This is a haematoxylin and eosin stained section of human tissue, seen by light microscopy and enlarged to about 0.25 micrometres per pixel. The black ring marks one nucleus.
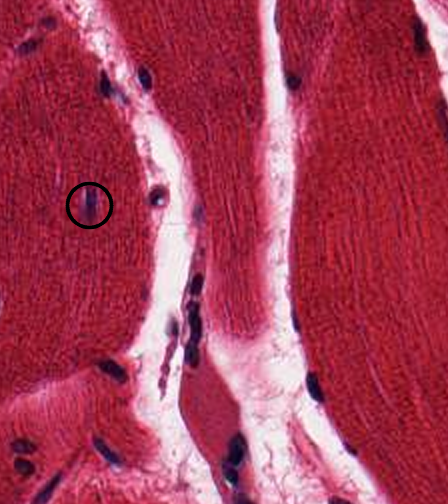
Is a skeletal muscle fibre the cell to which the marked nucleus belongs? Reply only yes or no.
yes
